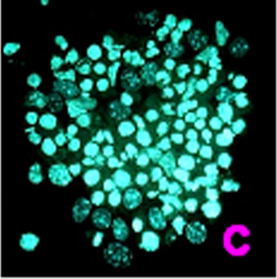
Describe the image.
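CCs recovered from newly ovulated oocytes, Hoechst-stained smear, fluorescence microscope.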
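A dense cluster of cells in which most nuclei fluoresce brightly and appear small, round and compact. A minority of nuclei at the edges of the cluster are dimmer and show a granular chromatin texture.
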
